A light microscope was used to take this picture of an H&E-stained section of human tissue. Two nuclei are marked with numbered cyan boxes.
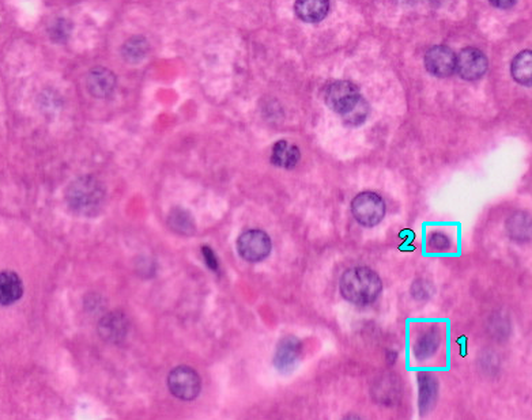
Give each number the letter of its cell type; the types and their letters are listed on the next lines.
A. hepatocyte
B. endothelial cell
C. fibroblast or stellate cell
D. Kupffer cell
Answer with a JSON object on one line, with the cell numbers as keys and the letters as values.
{"1": "B", "2": "D"}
